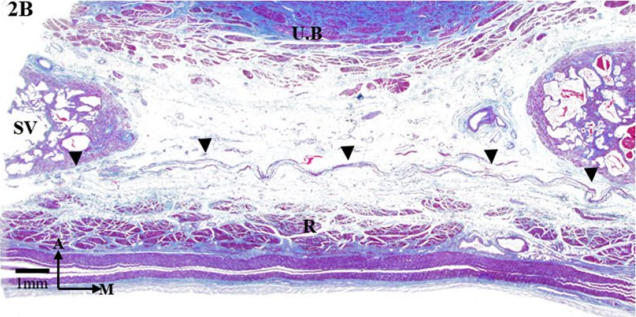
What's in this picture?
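This horizontal section passes between the urinary bladder and the rectum at the level of the seminal vesicles. The bladder wall at the top and the rectal wall at the bottom are made of bundles of purple-red smooth muscle separated by blue-green connective tissue. On either side, the seminal vesicles appear as rounded masses with folded, convoluted lumens. The space between them is filled with pale, loose connective tissue containing small vessels. A thin, wavy membranous layer, the Denonvilliers’ fascia, runs across this loose tissue just above the rectal wall.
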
